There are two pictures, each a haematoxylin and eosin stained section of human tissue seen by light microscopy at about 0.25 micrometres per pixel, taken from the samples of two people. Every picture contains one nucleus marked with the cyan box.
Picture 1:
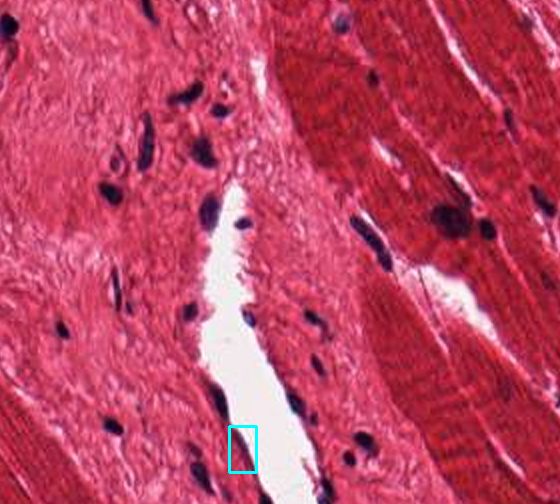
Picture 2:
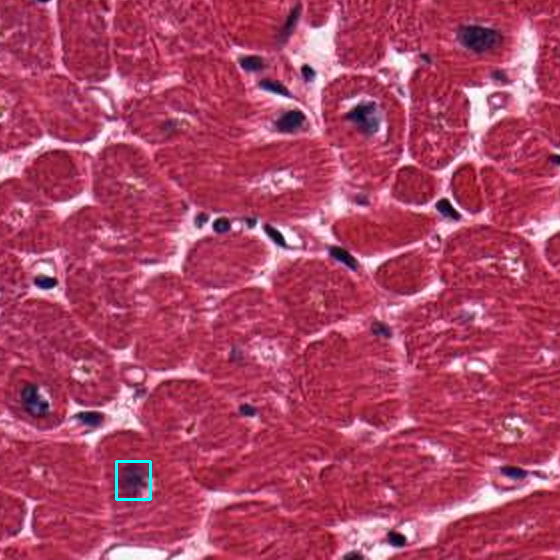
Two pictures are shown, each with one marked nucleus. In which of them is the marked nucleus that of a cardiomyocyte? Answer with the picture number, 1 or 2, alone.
2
